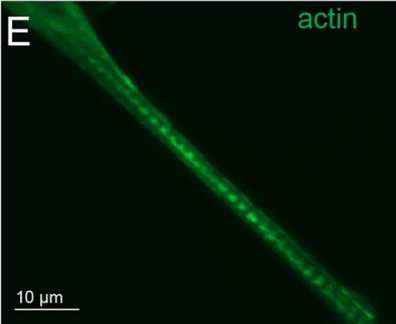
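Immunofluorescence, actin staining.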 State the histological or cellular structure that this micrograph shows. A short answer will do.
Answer: striations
